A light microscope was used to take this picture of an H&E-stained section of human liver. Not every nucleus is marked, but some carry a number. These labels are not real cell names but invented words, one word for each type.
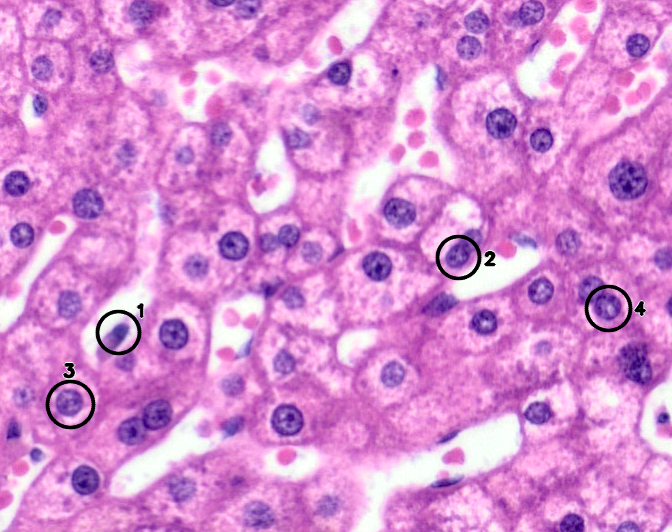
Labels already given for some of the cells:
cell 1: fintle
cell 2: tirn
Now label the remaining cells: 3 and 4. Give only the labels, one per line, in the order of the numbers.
tirn
tirn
